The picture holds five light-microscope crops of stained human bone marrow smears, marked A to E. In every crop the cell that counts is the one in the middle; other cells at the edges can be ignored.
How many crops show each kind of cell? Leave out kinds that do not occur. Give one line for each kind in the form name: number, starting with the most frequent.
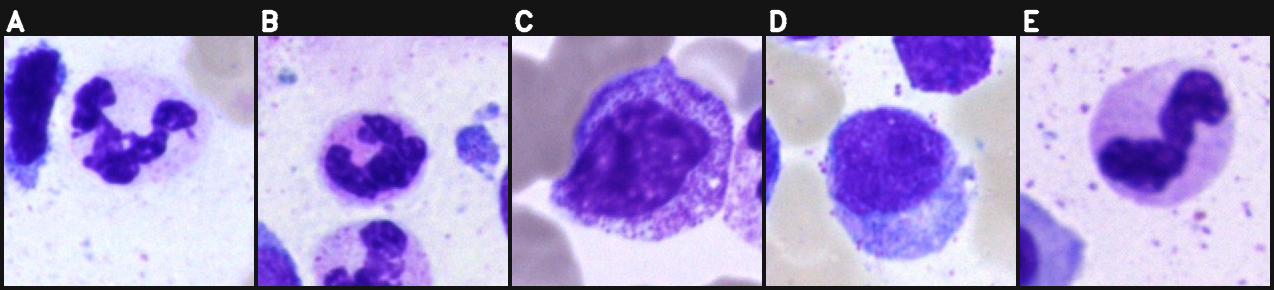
segmented neutrophil: 3
myelocyte: 2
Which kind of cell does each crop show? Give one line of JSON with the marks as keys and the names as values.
{"A": "segmented neutrophil", "B": "segmented neutrophil", "C": "myelocyte", "D": "myelocyte", "E": "segmented neutrophil"}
